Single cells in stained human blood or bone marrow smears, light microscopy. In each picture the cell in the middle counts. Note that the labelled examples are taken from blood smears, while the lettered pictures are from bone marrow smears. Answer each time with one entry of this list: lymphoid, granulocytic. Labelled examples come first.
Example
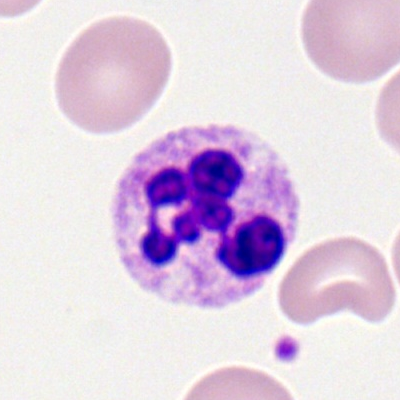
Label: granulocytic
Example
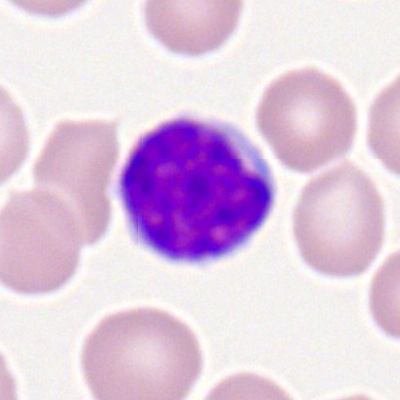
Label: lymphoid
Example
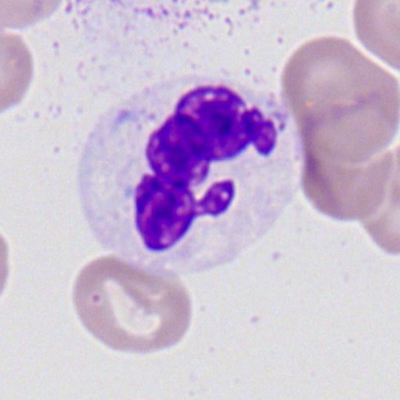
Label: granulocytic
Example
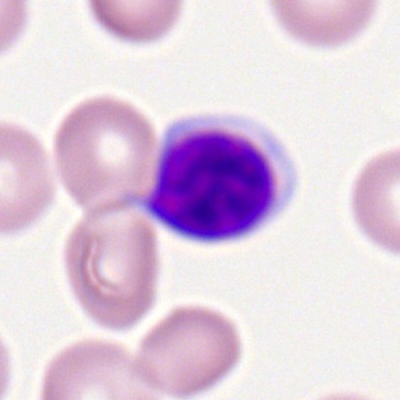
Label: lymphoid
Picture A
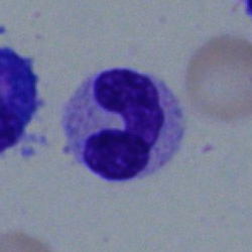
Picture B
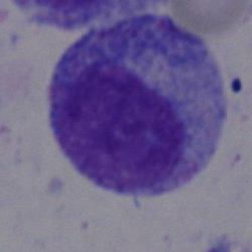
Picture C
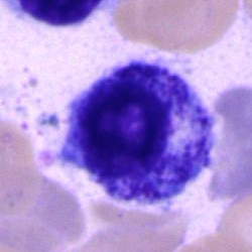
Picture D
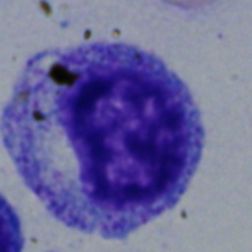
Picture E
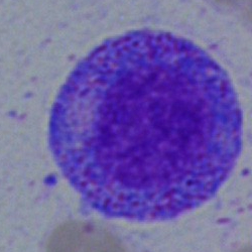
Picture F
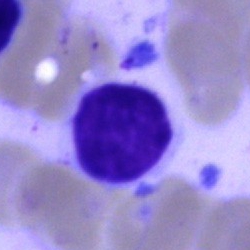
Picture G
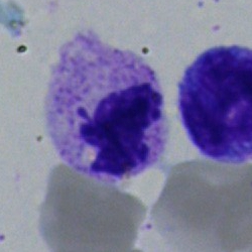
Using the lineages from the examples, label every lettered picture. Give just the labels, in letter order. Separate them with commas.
granulocytic, granulocytic, granulocytic, granulocytic, granulocytic, lymphoid, granulocytic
